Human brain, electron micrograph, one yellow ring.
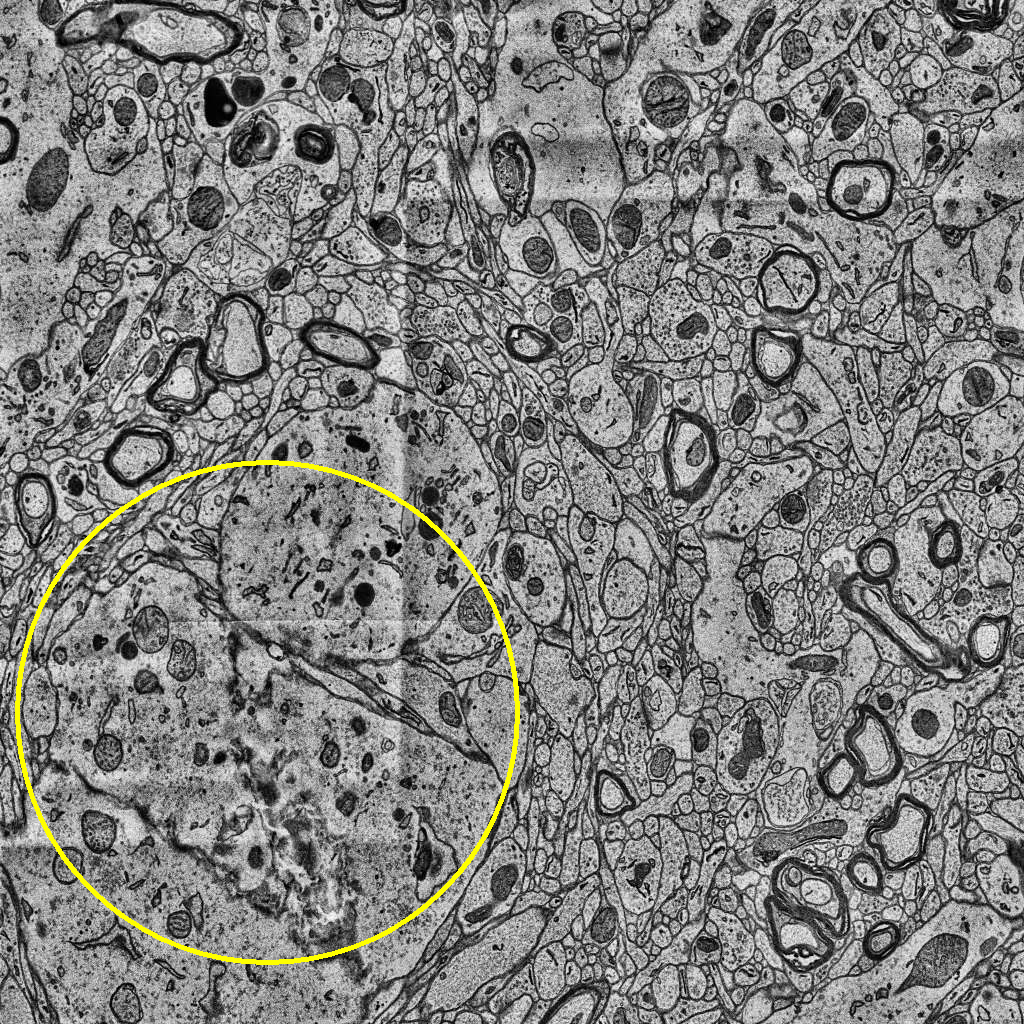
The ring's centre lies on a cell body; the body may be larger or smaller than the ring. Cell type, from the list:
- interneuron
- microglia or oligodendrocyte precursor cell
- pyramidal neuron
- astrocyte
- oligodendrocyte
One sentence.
The yellow ring's centre lies on an interneuron.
